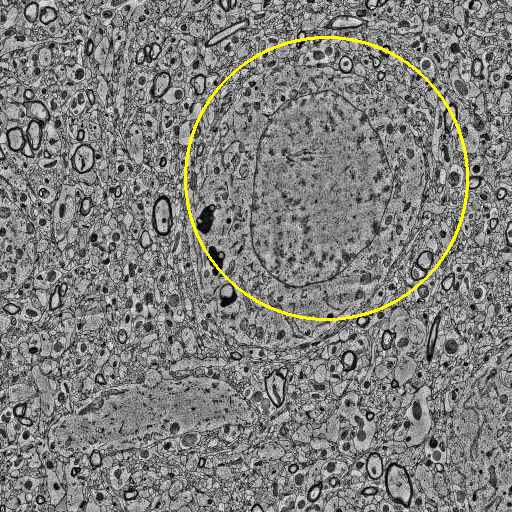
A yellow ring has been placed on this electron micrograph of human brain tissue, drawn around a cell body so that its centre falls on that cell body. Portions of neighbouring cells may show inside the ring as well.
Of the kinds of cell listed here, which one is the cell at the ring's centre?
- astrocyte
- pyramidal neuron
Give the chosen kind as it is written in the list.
pyramidal neuron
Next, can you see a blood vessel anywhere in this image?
No, no blood vessel shows in the picture.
